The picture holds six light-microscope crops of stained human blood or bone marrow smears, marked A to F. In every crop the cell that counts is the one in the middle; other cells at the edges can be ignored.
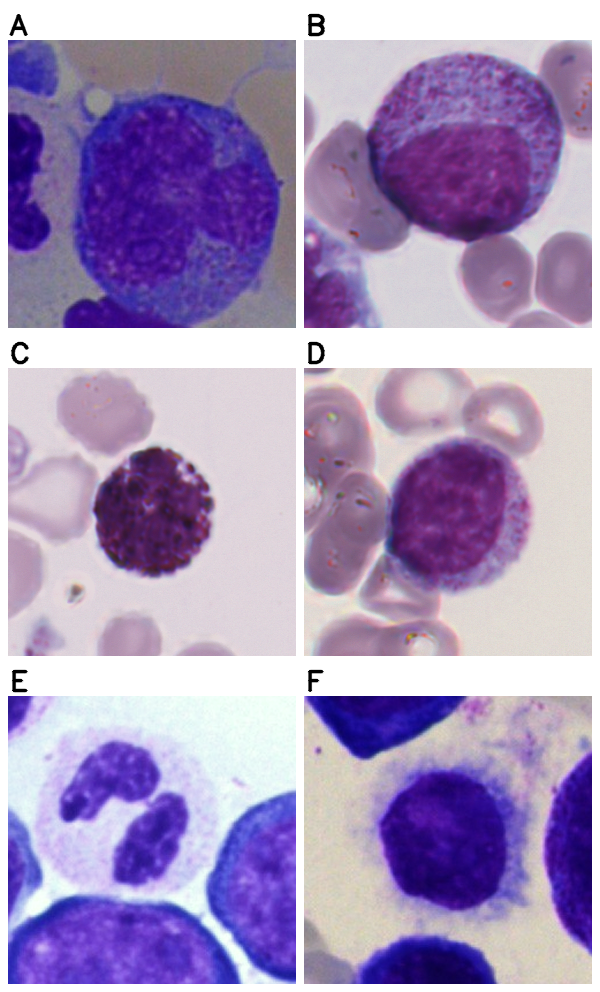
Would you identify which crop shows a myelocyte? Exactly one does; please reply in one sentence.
As for which crop shows a myelocyte, it is crop D.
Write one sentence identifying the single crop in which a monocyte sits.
Among these crops, crop A holds a monocyte.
